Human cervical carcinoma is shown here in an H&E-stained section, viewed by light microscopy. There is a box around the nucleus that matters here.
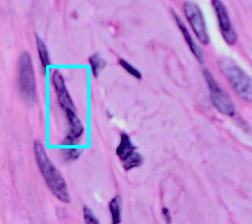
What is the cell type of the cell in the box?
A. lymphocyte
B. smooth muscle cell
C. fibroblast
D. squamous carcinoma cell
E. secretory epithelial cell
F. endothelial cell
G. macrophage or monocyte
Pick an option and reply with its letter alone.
C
